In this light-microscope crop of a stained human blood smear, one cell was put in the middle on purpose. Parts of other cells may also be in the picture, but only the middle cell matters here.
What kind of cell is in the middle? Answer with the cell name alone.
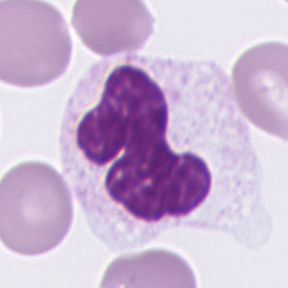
band neutrophil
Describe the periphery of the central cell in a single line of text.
The boundary of the cell runs irregularly, ragged in parts or drawn into projections.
